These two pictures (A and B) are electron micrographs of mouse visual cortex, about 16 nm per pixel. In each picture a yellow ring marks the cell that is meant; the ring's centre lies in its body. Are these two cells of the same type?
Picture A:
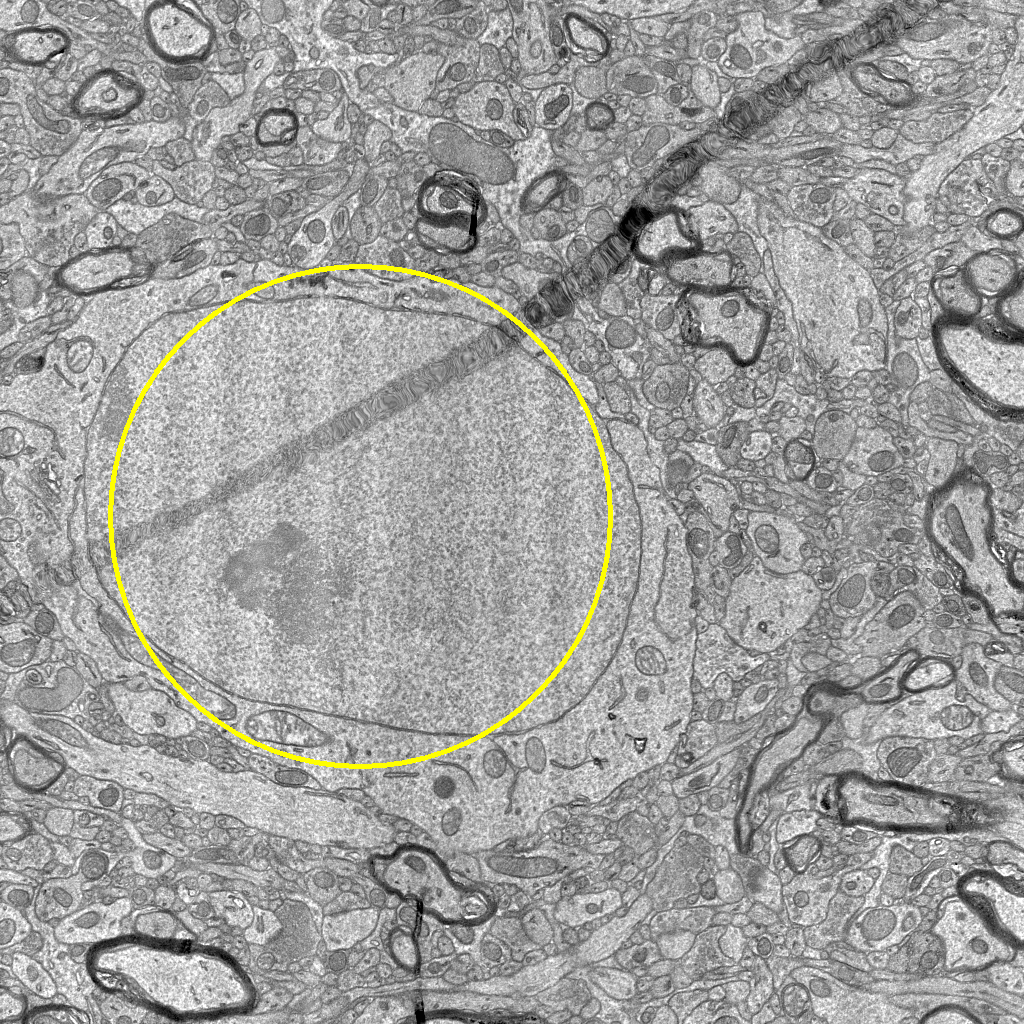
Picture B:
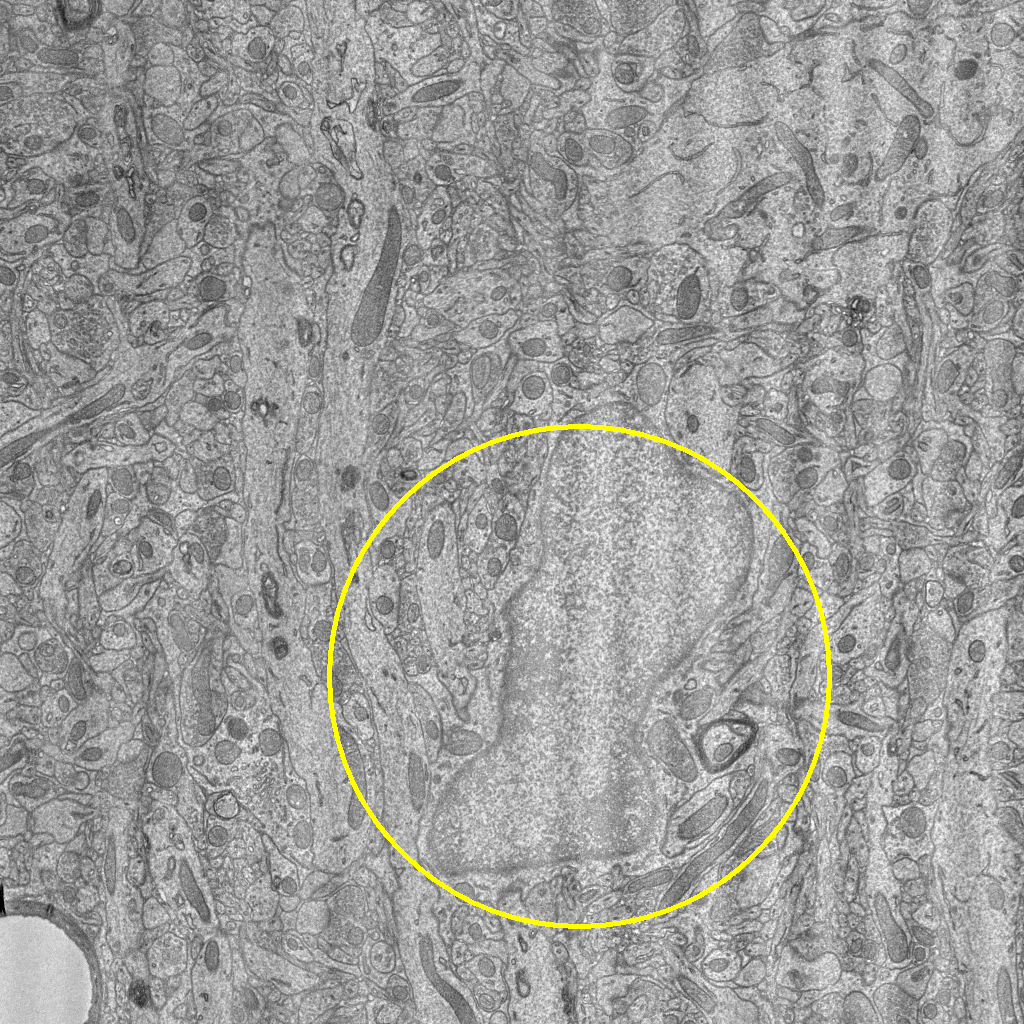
No. Picture A shows an excitatory neuron, but picture B shows an astrocyte.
